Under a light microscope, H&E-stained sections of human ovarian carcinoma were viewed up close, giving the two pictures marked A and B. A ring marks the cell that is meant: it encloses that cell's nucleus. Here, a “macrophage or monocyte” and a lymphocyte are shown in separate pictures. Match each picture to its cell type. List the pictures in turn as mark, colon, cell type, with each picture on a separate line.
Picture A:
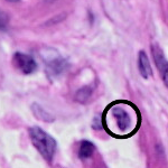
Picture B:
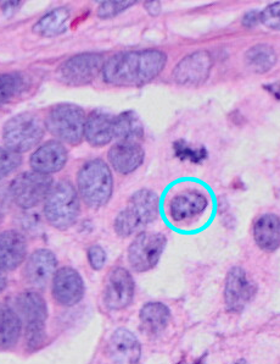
A: lymphocyte
B: macrophage or monocyte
